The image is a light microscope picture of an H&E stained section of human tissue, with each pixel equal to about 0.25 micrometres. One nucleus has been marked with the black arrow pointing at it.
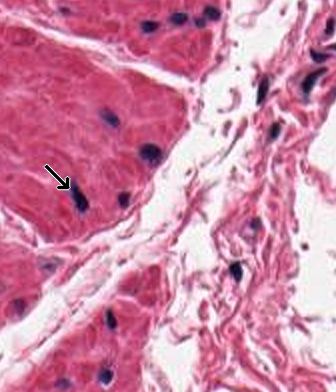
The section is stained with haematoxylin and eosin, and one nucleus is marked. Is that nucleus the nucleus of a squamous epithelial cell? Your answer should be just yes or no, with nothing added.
no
